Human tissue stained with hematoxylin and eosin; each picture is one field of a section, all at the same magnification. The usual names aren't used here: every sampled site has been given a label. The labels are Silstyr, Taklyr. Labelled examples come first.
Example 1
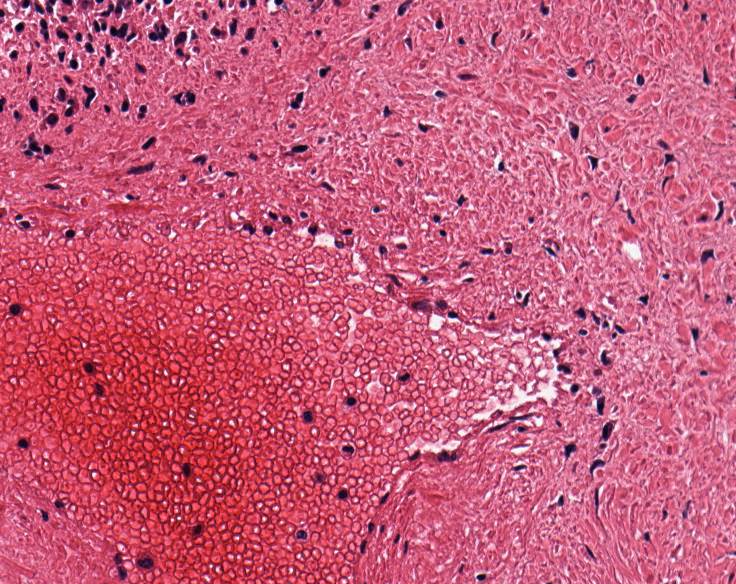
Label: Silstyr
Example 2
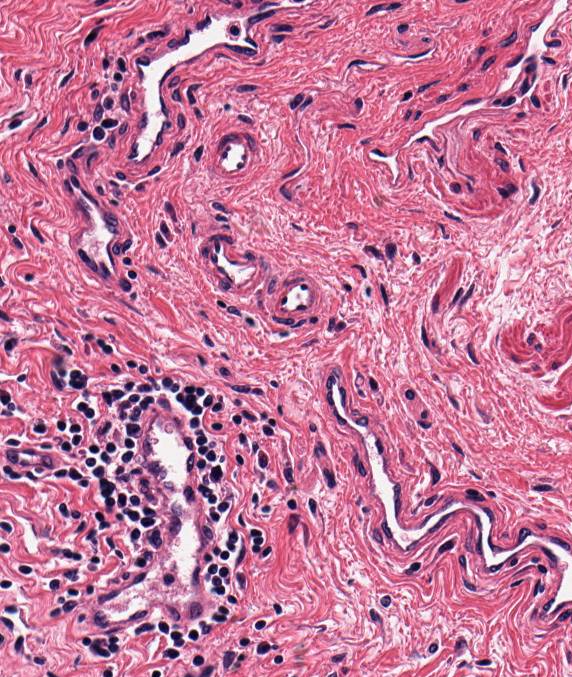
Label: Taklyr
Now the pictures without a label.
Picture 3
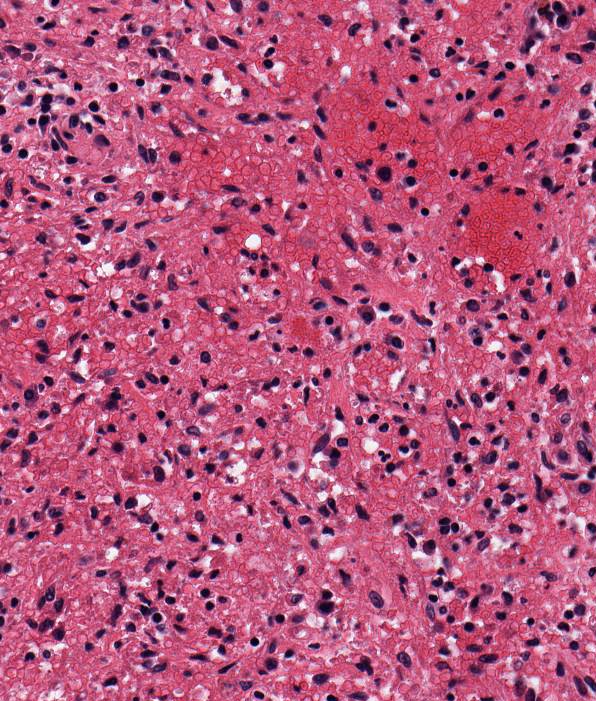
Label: Silstyr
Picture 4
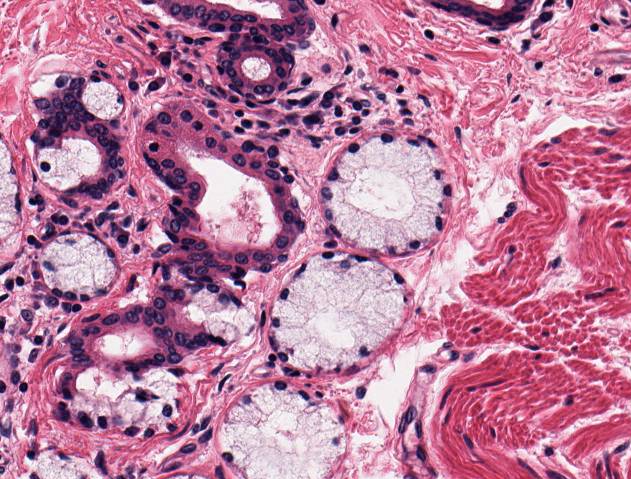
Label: Taklyr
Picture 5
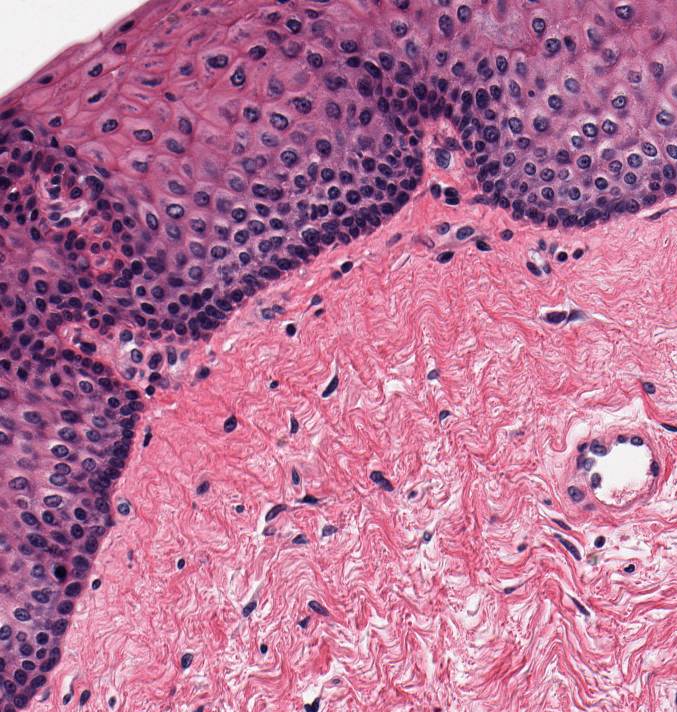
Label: Taklyr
